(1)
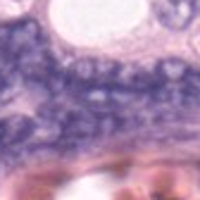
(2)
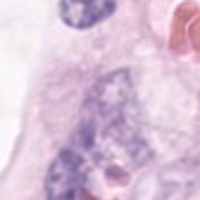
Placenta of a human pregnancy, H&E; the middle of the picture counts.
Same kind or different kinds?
Different: the first is a syncytial knot, the second a cytotrophoblast.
